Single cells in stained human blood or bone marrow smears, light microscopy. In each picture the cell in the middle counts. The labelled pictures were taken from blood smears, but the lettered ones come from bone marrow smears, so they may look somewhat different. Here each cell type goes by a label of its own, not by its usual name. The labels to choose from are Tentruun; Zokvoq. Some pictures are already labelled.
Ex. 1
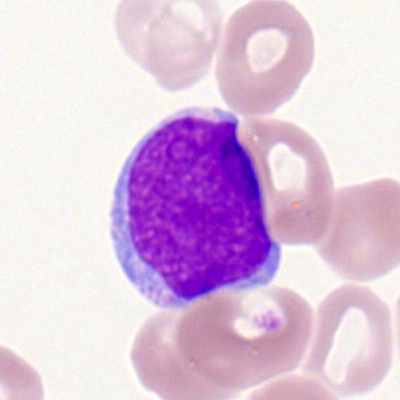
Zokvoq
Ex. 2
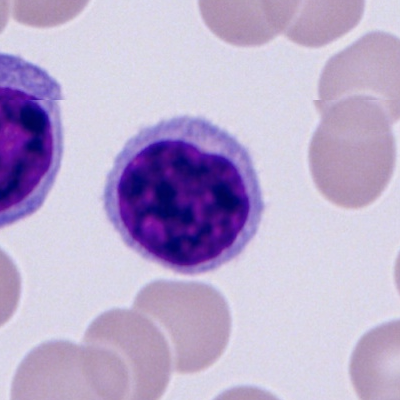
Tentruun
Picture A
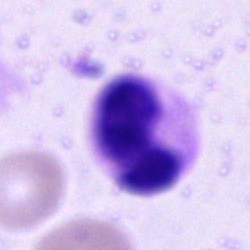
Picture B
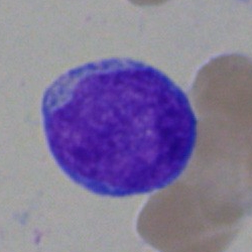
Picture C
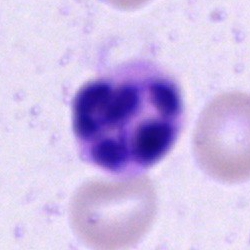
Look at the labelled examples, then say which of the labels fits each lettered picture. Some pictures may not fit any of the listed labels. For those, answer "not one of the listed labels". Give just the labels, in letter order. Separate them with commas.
not one of the listed labels, Zokvoq, not one of the listed labels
